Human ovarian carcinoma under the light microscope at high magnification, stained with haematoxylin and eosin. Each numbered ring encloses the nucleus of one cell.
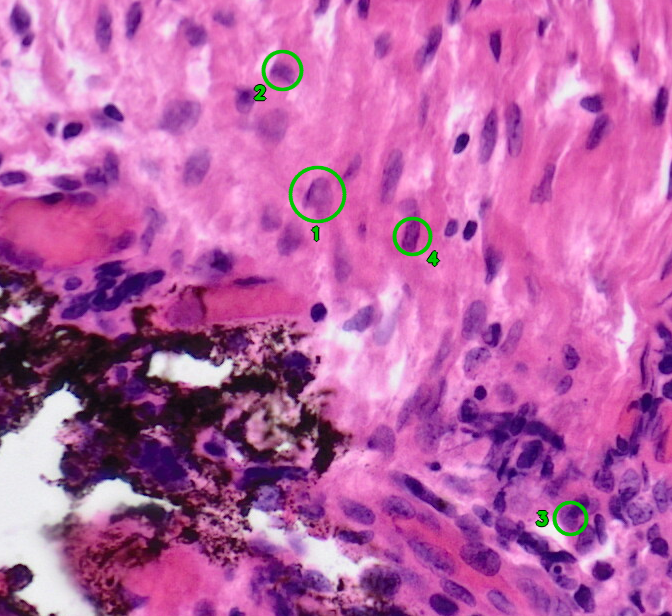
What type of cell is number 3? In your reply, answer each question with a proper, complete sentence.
Here, the cell given the number 3 is a carcinoma cell.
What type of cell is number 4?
Denoted by the label 4 in the section is a fibroblast.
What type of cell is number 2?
Regarding cell 2, this one is a fibroblast.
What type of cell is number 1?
The nucleus with number 1 is that of a fibroblast.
